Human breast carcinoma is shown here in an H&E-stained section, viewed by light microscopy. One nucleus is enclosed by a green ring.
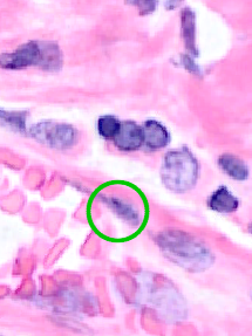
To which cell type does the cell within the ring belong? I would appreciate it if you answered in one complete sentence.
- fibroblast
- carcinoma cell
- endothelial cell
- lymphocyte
In the context of this tissue, the cell within the ring is an endothelial cell.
